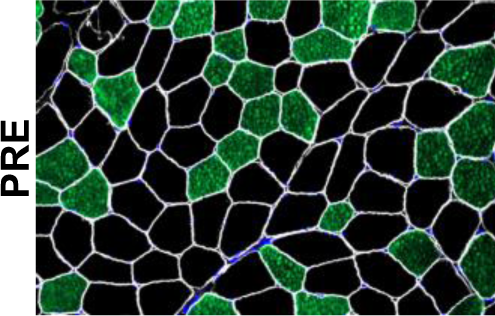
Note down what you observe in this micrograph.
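This is a cross-section of skeletal muscle in which many polygonal muscle fibers are packed tightly together, each outlined by a thin white border. Small blue nuclei sit at the edges of the fibers, pressed against the white outline, and none lie in the fiber centres. The fibers are of broadly similar size, with angular shapes where neighbours meet.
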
